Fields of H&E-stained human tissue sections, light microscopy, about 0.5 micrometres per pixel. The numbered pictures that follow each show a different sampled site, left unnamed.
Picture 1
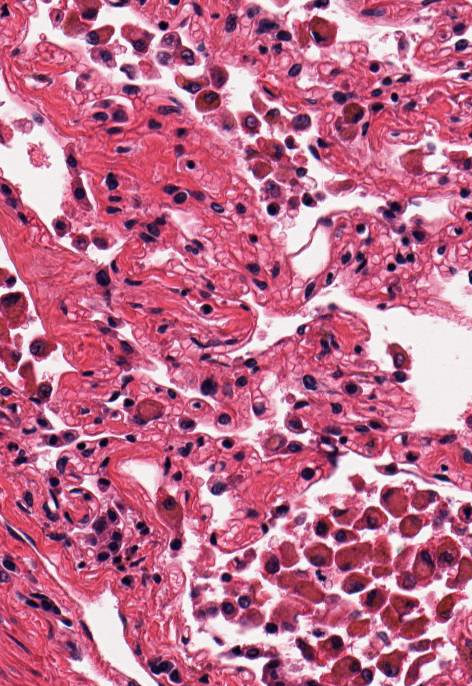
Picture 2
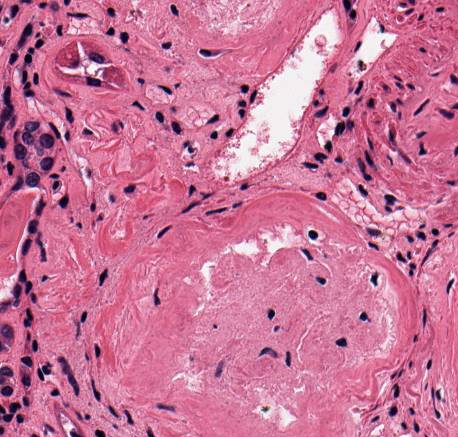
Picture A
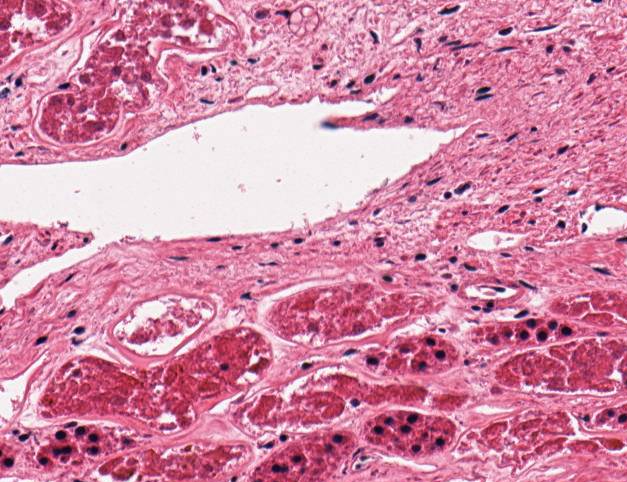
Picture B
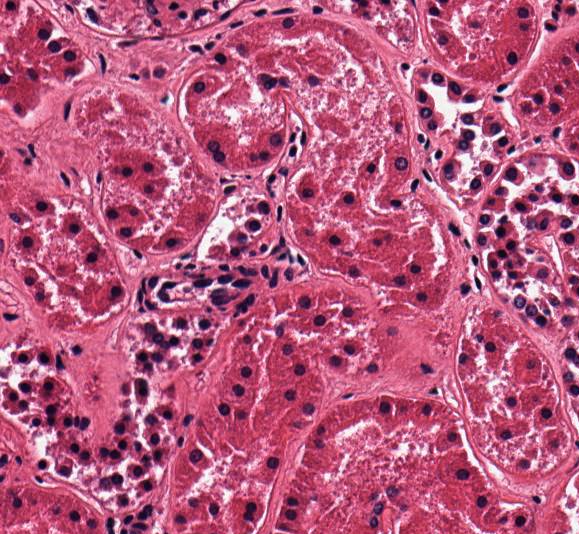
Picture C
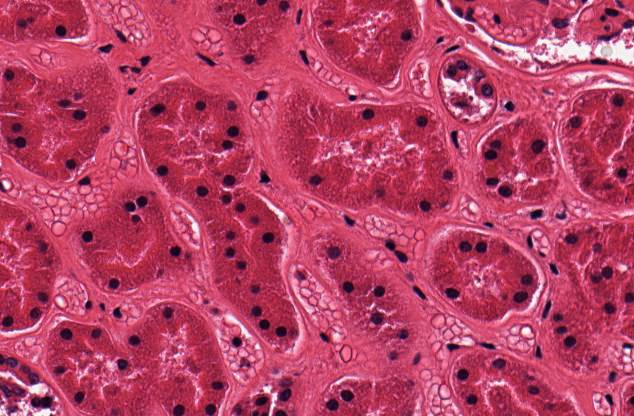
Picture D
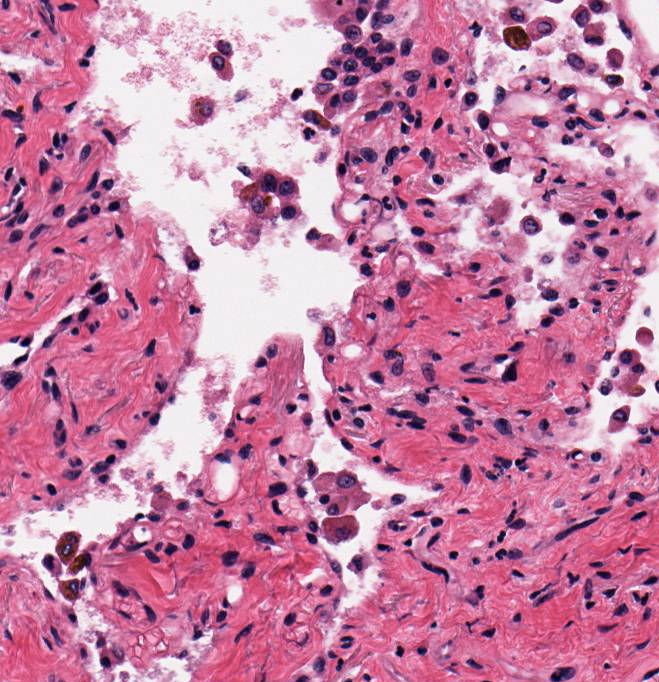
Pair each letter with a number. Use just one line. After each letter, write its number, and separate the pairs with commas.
A 2, B 2, C 2, D 1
